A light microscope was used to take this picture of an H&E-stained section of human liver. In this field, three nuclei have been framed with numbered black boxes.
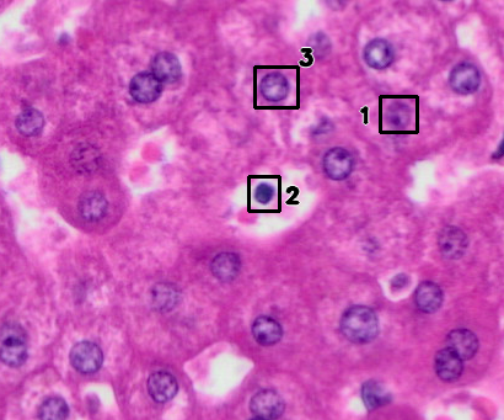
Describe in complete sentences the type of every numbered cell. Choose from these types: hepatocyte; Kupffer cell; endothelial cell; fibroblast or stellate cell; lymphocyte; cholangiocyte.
Cells 1 and 3 are hepatocytes. Cell 2 is a lymphocyte.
